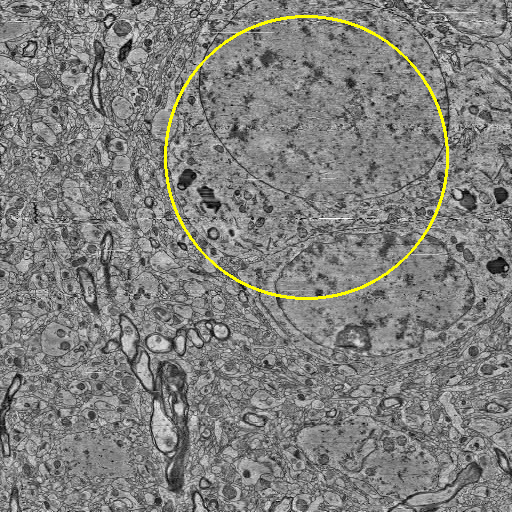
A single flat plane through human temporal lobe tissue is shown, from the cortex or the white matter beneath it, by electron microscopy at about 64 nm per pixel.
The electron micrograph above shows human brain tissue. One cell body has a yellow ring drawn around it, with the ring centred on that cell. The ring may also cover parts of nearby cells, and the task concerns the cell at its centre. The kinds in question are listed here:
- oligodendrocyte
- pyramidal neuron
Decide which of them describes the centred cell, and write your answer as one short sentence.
The centred cell is a pyramidal neuron.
